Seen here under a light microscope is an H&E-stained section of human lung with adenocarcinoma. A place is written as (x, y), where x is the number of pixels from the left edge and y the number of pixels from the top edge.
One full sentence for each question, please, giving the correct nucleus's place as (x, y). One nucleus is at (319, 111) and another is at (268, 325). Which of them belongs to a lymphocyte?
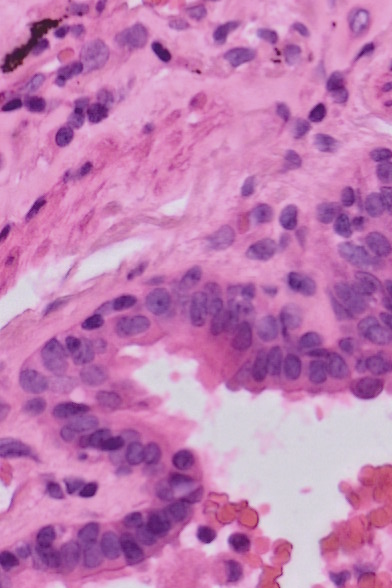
Of the pair, the nucleus located at (319, 111) belongs to a lymphocyte.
